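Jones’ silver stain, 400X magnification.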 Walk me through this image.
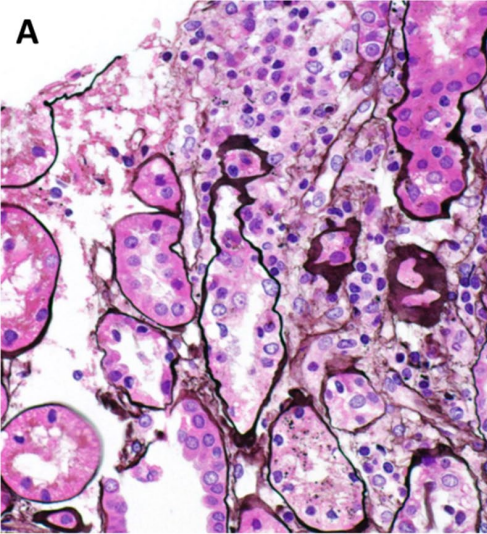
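Kidney cortex with renal tubules whose basement membranes are outlined in black, lined by pink-staining epithelial cells with round nuclei. The interstitium between the tubules is widened and loose and is packed with many small cells with round, dark purple nuclei and scant cytoplasm, consistent with inflammatory cells. Some tubules are cut in cross-section with open lumens, while others are compressed or irregular in outline. The picture is one of interstitial inflammation around the tubules.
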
